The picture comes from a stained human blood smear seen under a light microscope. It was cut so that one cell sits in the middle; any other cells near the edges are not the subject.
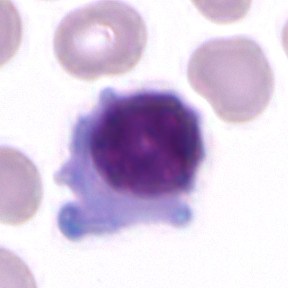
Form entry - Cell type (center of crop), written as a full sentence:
In the central position of this crop, the cell is a plasma cell.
